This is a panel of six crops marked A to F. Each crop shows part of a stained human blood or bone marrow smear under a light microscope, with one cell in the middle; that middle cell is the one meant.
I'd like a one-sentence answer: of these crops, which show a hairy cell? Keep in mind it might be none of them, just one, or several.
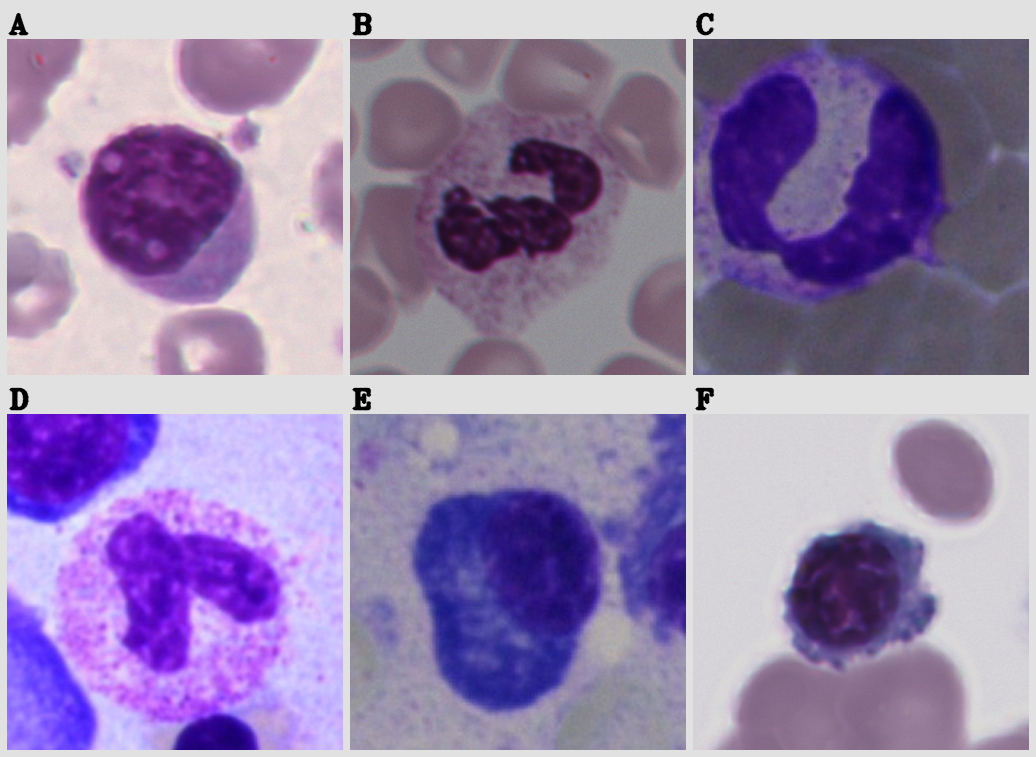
No single crop in the group depicts a hairy cell.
